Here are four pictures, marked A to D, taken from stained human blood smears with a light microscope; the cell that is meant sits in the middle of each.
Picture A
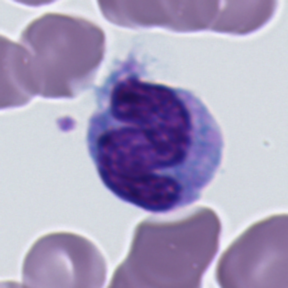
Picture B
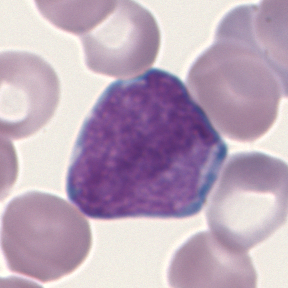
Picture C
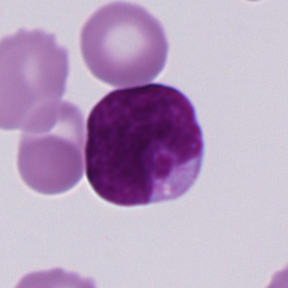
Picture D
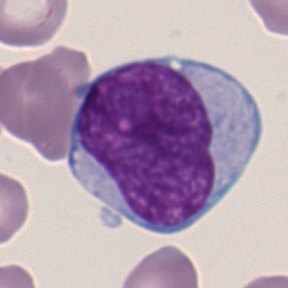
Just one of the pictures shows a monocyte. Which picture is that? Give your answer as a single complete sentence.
The picture with the monocyte is A.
